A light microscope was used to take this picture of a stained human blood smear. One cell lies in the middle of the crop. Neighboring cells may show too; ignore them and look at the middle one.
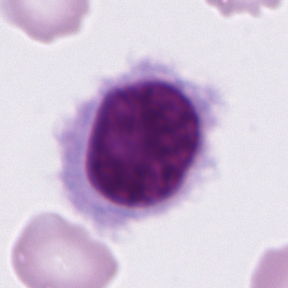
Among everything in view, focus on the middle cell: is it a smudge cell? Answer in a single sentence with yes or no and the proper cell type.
No, the cell at the centre is identified as a hairy cell, not as a smudge cell.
